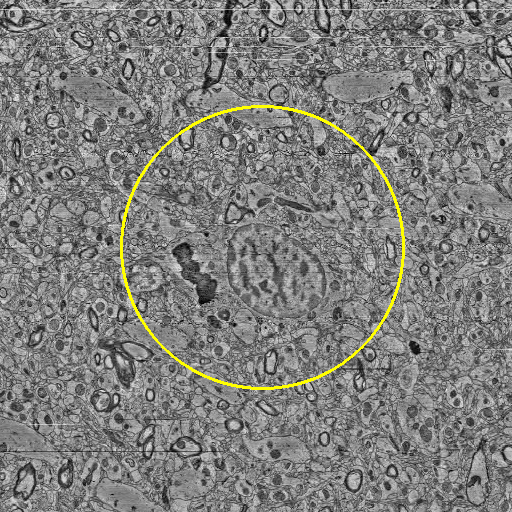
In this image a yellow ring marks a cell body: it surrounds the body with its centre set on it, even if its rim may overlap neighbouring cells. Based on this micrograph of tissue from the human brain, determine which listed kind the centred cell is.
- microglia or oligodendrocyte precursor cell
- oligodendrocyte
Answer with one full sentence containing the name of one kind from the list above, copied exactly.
It is an oligodendrocyte whose body the yellow ring encloses at its centre.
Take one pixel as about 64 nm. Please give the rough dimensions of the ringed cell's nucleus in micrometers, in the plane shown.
In this plane the nucleus measures roughly 7 by 5 micrometers.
